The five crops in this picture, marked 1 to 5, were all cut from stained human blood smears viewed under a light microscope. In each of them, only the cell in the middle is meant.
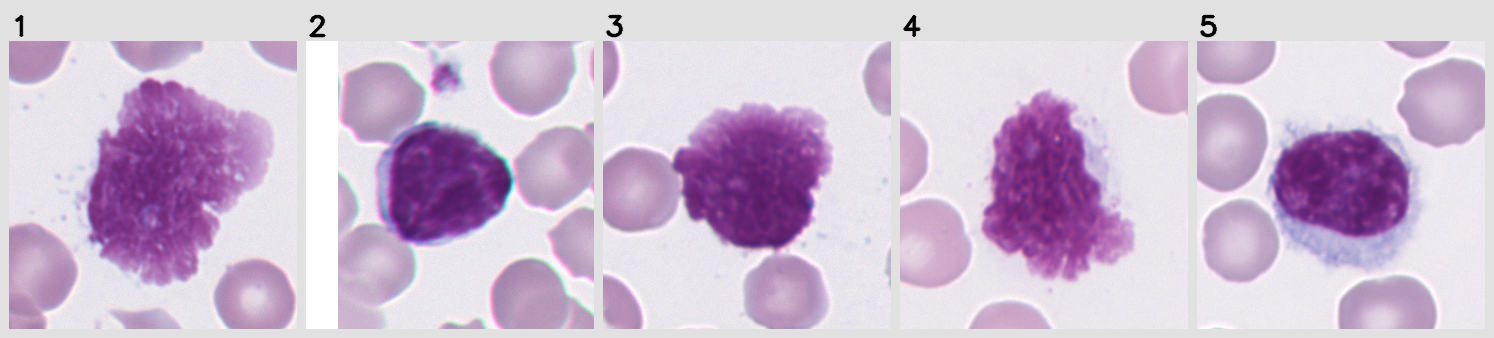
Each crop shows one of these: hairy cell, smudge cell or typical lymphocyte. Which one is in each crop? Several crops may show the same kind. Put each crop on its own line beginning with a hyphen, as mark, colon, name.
- 1: smudge cell
- 2: typical lymphocyte
- 3: smudge cell
- 4: smudge cell
- 5: hairy cell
